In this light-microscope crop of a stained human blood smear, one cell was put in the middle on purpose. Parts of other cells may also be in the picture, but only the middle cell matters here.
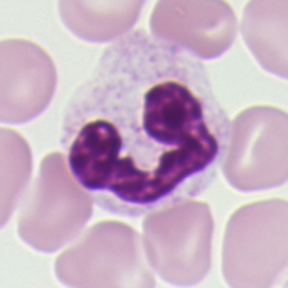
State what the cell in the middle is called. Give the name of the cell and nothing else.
neutrophil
